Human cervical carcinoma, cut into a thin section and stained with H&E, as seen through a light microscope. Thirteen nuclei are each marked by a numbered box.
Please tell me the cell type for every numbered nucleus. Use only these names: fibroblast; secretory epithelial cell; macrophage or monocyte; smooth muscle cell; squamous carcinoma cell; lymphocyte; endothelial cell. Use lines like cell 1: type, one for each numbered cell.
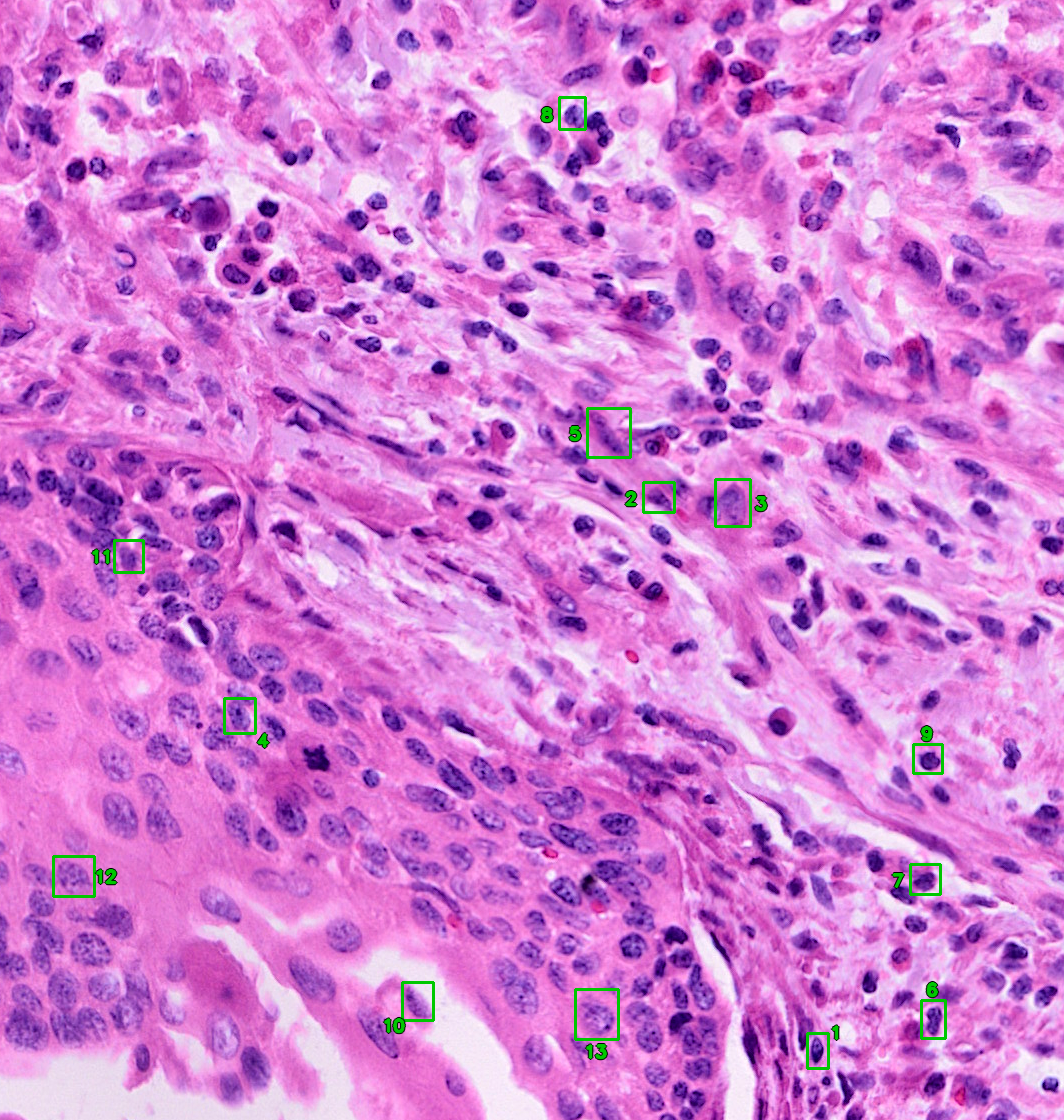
cell 1: lymphocyte
cell 2: endothelial cell
cell 3: endothelial cell
cell 4: squamous carcinoma cell
cell 5: endothelial cell
cell 6: lymphocyte
cell 7: lymphocyte
cell 8: lymphocyte
cell 9: lymphocyte
cell 10: squamous carcinoma cell
cell 11: squamous carcinoma cell
cell 12: squamous carcinoma cell
cell 13: squamous carcinoma cell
